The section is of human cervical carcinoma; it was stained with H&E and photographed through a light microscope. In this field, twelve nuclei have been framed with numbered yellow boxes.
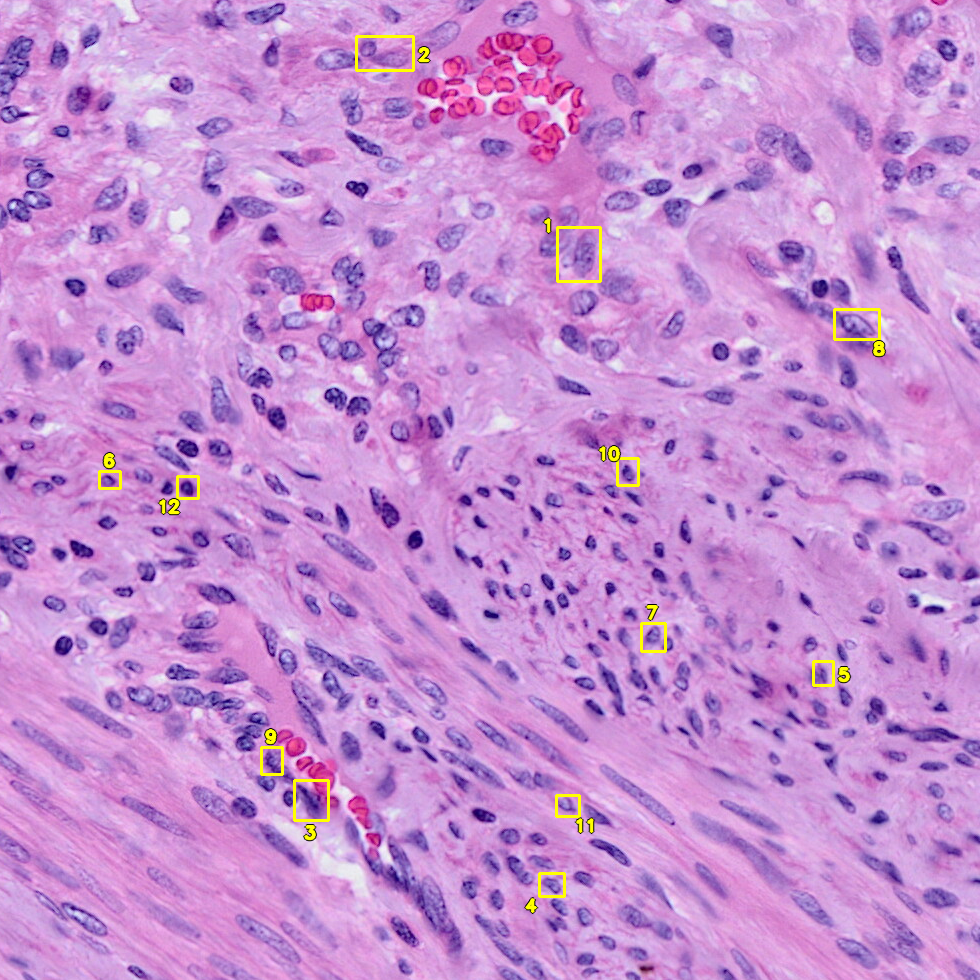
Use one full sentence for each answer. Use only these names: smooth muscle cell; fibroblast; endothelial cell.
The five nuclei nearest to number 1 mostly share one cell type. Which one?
Endothelial cells account for more than half of the five nuclei nearest to number 1.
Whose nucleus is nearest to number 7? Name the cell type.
The nearest nucleus to number 7 belongs to a smooth muscle cell.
